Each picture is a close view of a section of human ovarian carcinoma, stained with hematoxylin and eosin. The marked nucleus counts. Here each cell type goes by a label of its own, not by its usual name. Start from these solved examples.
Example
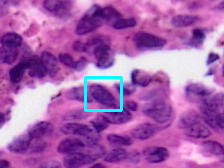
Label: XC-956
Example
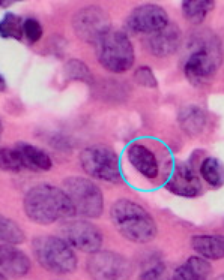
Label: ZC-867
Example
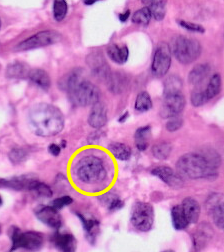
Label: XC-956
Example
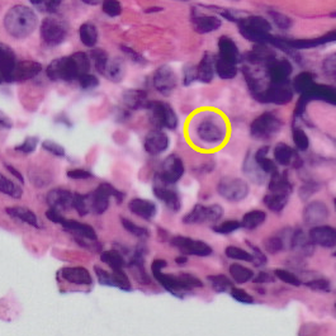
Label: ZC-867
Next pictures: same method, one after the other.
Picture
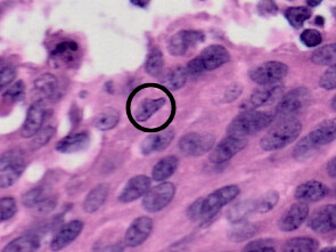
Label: ZC-867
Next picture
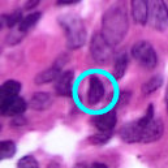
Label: XC-956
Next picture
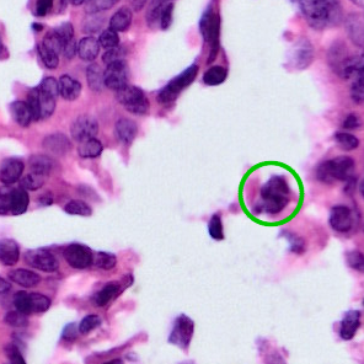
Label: ZC-867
